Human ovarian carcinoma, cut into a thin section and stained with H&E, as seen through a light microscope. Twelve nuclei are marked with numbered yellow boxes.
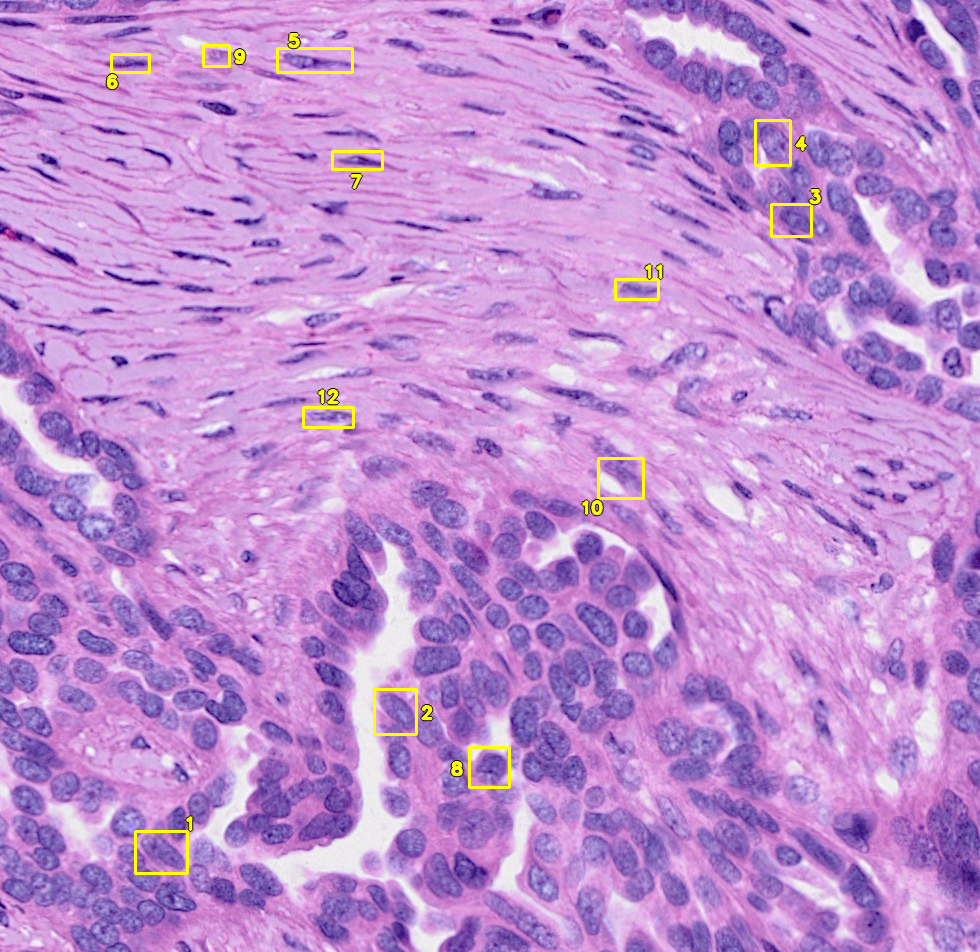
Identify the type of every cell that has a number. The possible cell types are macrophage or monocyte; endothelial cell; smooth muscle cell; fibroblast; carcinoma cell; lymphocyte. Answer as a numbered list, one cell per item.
1. carcinoma cell
2. carcinoma cell
3. carcinoma cell
4. carcinoma cell
5. fibroblast
6. fibroblast
7. fibroblast
8. carcinoma cell
9. fibroblast
10. fibroblast
11. fibroblast
12. fibroblast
